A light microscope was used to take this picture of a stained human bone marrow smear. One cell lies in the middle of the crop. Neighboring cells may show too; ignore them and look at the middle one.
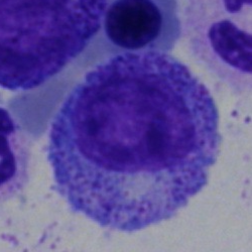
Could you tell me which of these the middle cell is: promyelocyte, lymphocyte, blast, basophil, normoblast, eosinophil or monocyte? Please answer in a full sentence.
What the crop centres on is a promyelocyte.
